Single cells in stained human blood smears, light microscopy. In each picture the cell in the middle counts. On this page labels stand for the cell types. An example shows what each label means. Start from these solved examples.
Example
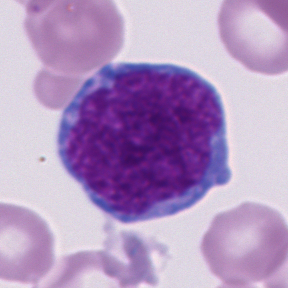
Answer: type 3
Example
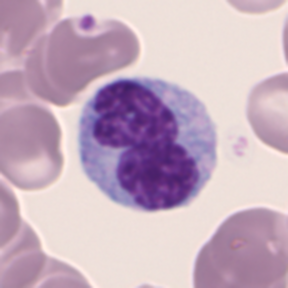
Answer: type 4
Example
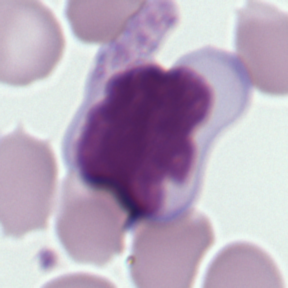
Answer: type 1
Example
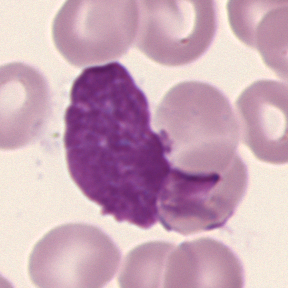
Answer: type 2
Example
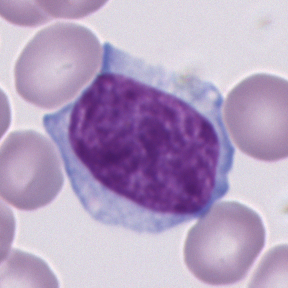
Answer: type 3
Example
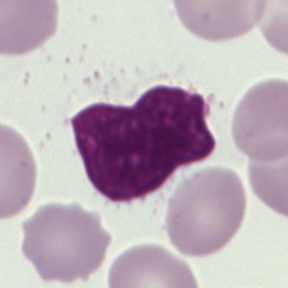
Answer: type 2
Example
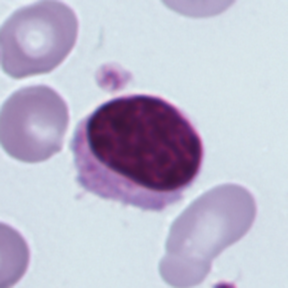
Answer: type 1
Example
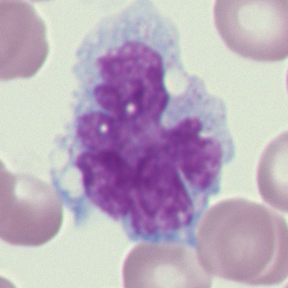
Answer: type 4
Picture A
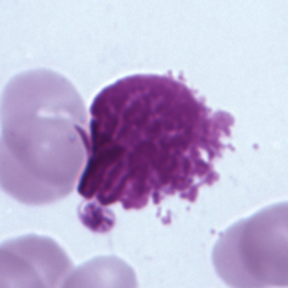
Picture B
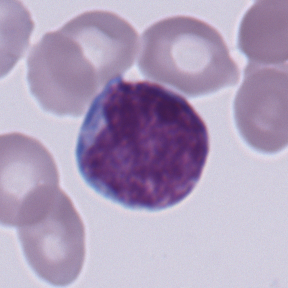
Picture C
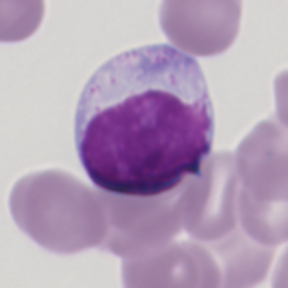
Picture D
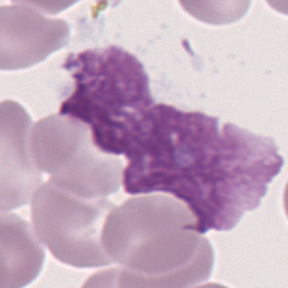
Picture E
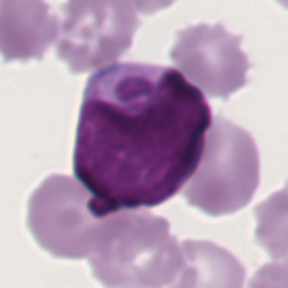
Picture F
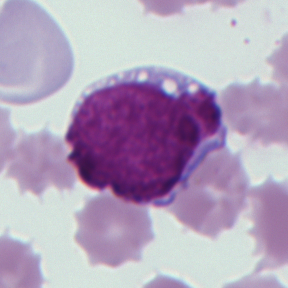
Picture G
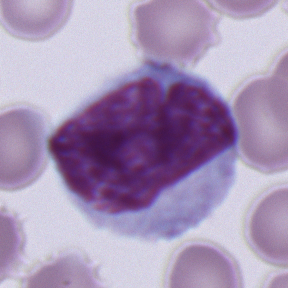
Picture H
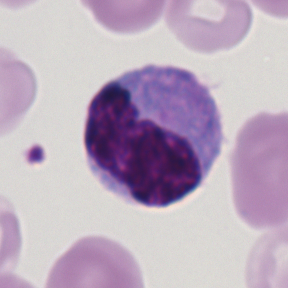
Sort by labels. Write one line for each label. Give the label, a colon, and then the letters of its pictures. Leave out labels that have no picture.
type 3: B, E, F
type 4: G, H
type 1: C
type 2: A, D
